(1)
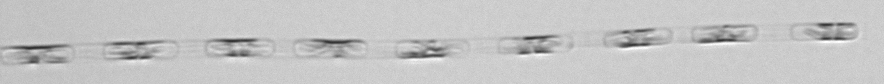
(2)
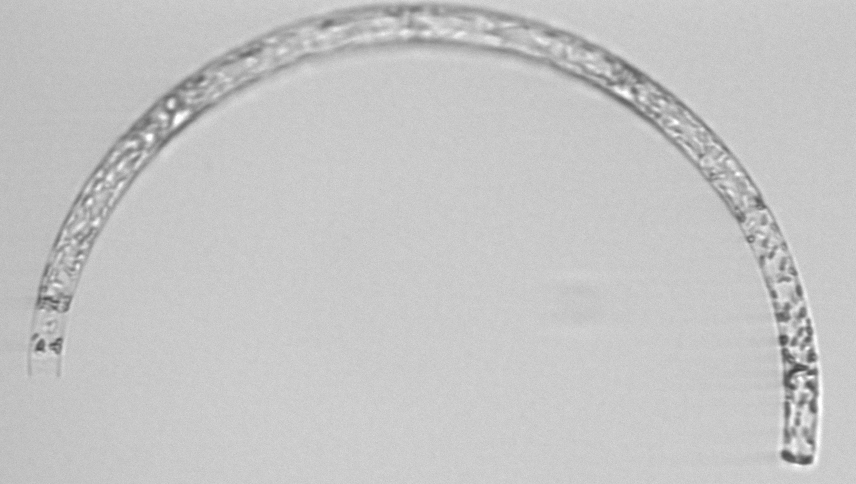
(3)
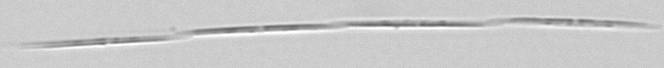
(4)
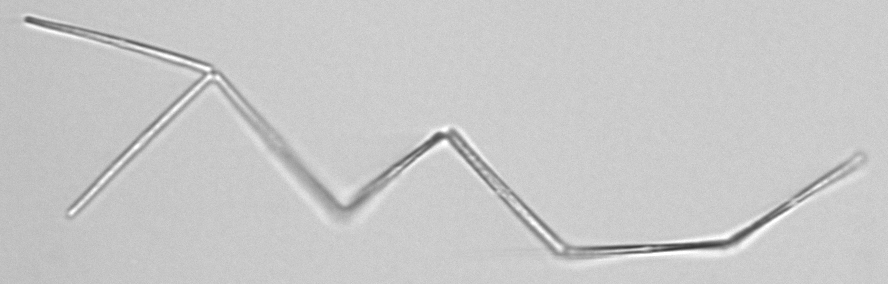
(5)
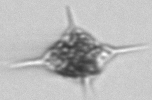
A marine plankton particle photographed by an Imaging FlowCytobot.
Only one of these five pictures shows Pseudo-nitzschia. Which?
Picture 3.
